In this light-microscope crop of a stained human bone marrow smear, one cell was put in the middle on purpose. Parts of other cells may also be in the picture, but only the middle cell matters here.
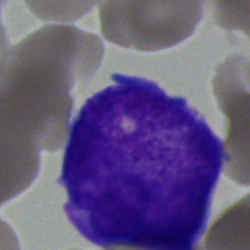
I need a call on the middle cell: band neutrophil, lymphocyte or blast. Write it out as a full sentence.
The cell in the exact centre of the crop is a blast.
